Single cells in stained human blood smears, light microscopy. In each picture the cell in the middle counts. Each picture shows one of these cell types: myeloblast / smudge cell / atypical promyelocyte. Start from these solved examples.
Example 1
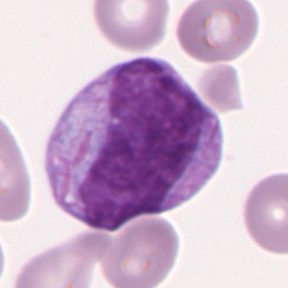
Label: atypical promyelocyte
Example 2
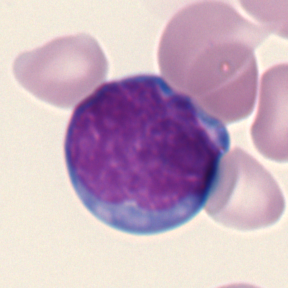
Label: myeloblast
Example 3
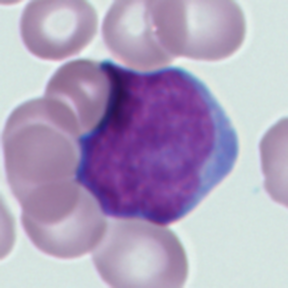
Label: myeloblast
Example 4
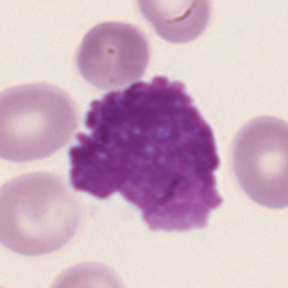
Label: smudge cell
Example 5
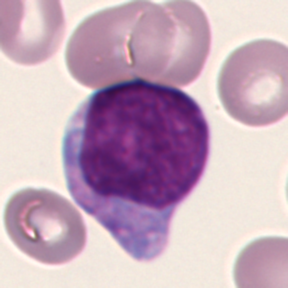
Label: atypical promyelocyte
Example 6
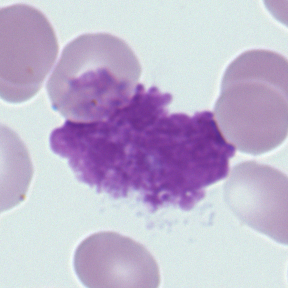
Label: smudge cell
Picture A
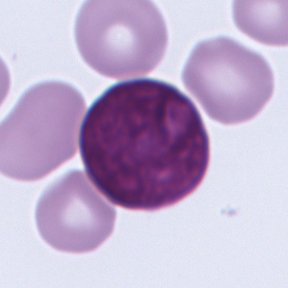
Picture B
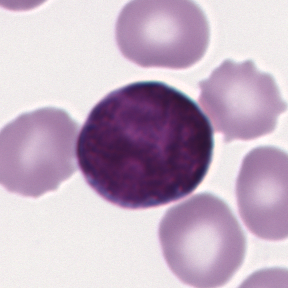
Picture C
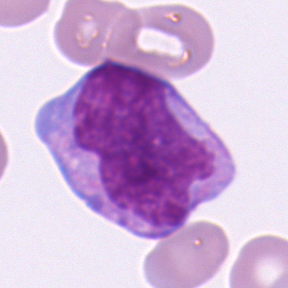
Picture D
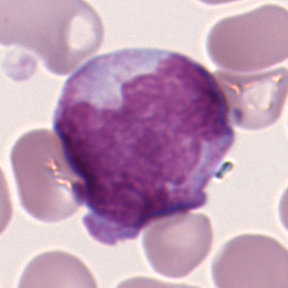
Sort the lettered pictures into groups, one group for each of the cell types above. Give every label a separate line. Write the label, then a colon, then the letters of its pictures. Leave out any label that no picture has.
myeloblast: A, B
atypical promyelocyte: C, D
